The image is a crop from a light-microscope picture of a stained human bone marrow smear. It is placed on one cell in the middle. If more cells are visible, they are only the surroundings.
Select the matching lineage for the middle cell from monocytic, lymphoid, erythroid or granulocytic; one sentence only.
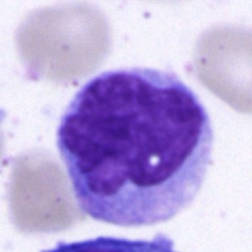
The cell sitting in the middle of this crop is of the monocytic line.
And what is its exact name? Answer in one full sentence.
Present in the middle of the crop is a monocyte.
